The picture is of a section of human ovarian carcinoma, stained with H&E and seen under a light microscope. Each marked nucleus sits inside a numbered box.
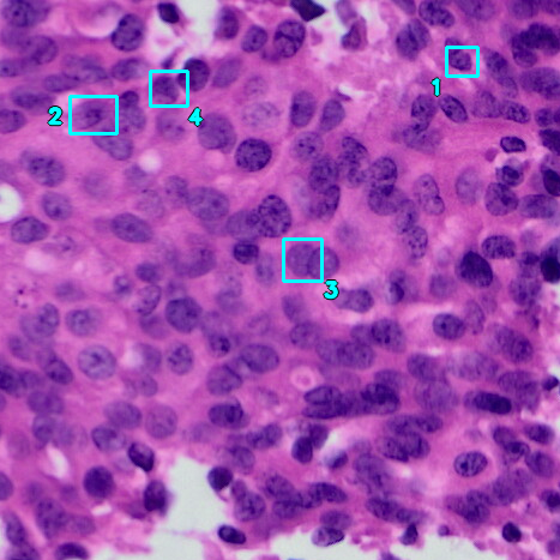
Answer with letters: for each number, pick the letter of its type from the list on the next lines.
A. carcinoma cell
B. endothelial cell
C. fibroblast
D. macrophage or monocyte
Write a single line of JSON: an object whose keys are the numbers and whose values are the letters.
{"1": "D", "2": "A", "3": "A", "4": "A"}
